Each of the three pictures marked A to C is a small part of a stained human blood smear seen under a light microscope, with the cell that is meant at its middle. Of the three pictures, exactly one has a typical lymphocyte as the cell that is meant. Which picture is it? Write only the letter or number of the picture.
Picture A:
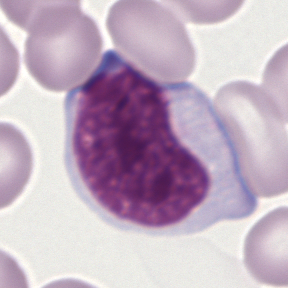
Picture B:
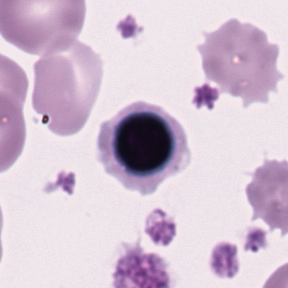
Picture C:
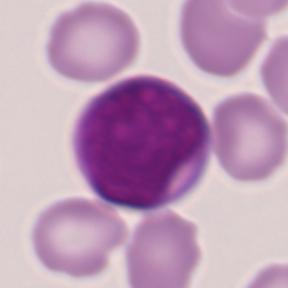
A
